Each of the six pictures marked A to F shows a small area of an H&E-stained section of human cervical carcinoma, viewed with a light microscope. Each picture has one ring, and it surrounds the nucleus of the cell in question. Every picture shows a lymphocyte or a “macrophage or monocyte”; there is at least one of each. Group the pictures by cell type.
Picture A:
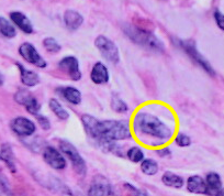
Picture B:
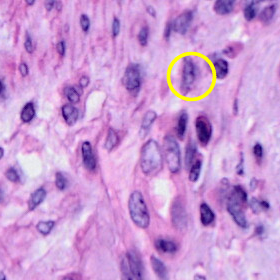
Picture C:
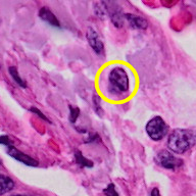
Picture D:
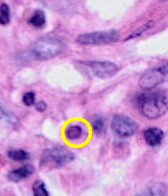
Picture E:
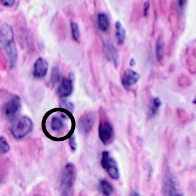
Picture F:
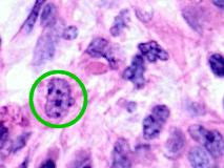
A: lymphocyte
B: macrophage or monocyte
C: macrophage or monocyte
D: macrophage or monocyte
E: lymphocyte
F: macrophage or monocyte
